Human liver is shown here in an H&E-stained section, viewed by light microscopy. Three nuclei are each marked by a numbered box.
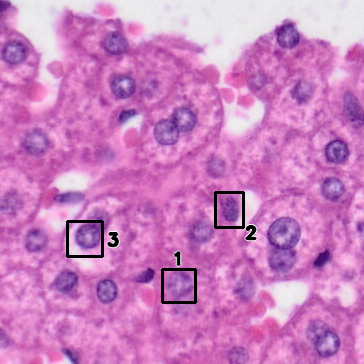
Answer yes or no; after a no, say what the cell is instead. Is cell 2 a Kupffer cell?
Yes.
